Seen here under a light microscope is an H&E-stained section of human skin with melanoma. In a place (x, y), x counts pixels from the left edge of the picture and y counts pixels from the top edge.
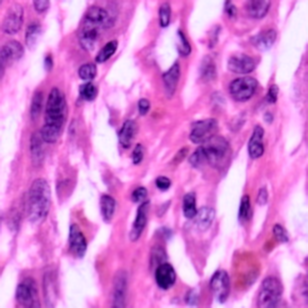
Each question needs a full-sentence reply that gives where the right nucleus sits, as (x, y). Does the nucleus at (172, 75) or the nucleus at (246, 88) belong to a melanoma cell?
As for which of the two, the nucleus at (246, 88) belongs to a melanoma cell.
